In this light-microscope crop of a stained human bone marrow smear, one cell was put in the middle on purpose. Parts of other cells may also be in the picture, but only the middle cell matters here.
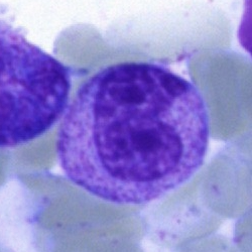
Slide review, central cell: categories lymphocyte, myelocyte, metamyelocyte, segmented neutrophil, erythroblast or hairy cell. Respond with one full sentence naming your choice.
As for the central cell, it is a metamyelocyte.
